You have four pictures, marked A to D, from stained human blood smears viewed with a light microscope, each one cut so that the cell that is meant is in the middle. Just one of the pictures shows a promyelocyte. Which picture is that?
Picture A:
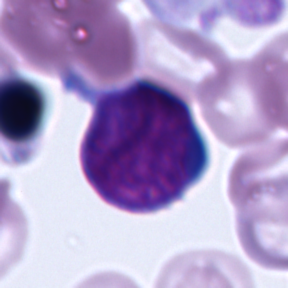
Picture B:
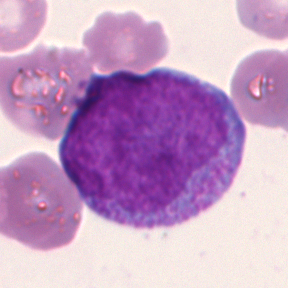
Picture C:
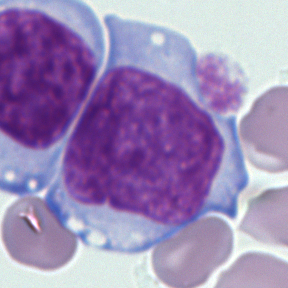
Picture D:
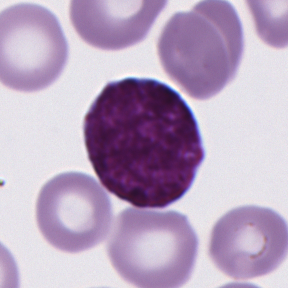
B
